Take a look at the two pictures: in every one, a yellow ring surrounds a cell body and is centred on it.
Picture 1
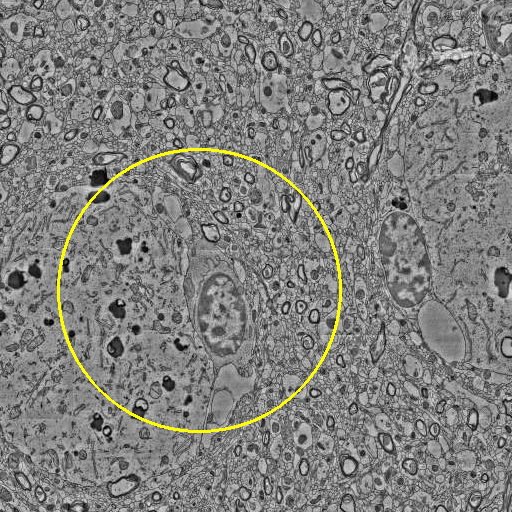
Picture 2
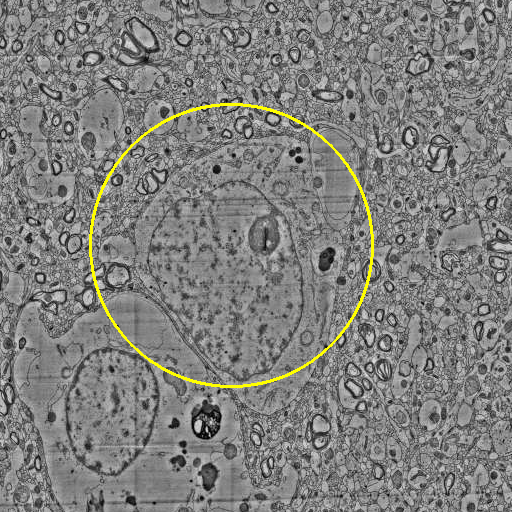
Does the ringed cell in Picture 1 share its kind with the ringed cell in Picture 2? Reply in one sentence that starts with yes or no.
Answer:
No, the two centred cells, one per picture, are of two kinds.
